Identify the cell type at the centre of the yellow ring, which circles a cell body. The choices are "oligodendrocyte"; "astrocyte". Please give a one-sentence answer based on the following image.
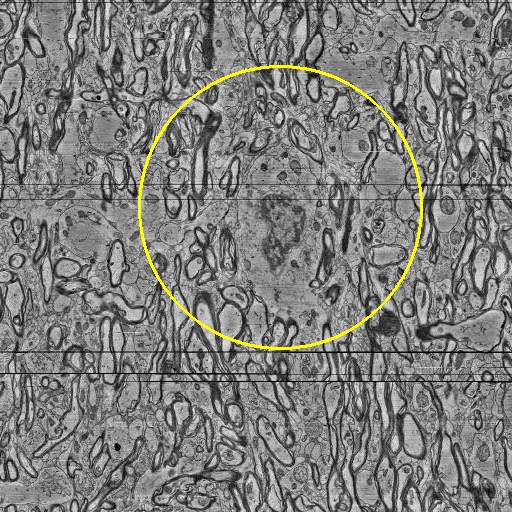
The cell marked by the ring is an astrocyte.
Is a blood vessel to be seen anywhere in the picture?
No, the picture includes no blood vessel.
